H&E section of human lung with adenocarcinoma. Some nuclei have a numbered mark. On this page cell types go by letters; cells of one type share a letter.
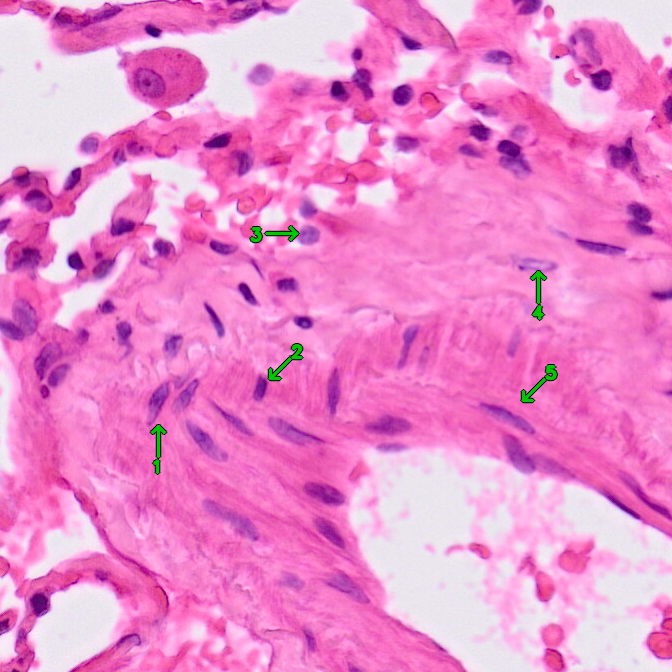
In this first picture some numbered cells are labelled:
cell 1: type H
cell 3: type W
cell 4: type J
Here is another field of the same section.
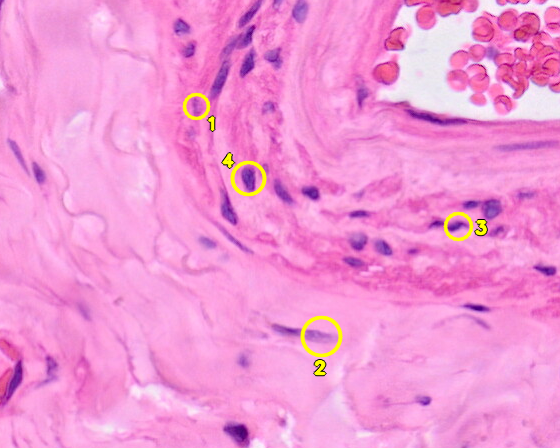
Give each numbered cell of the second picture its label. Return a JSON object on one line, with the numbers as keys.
{"1": "type H", "2": "type J", "3": "type H", "4": "type H"}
